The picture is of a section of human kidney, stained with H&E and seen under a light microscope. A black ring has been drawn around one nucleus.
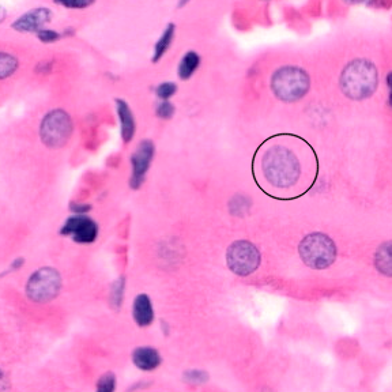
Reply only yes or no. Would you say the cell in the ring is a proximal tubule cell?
yes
